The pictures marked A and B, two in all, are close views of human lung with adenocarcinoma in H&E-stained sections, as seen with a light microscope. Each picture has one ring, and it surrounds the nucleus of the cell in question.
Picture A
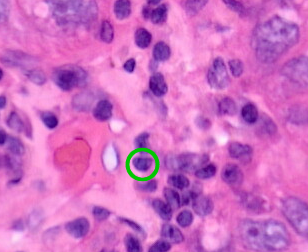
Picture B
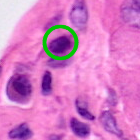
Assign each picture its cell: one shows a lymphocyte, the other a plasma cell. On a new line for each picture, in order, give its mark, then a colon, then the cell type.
A: lymphocyte
B: plasma cell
